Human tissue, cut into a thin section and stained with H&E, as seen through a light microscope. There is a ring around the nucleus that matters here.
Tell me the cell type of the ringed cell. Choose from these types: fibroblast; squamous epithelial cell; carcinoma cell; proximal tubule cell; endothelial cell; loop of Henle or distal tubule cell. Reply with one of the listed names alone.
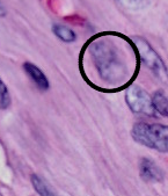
endothelial cell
